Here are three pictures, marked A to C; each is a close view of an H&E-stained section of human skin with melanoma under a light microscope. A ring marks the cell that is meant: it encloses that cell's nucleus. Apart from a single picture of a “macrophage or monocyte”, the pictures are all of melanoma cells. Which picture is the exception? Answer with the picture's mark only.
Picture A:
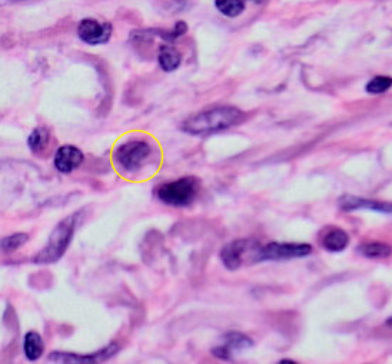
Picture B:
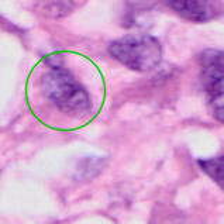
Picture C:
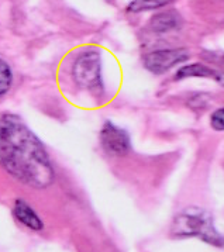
A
